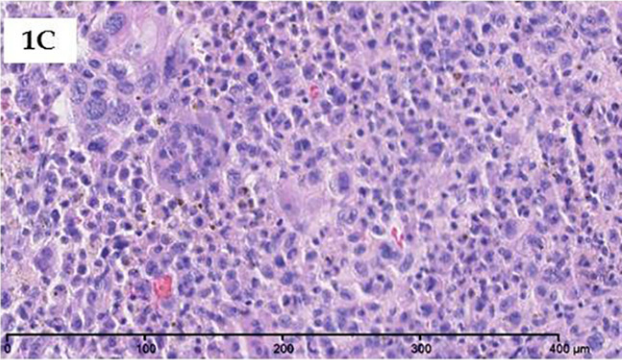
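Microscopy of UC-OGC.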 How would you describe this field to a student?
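A dense sheet of cells with no glands or stroma to speak of. Most are mononuclear cells with round to irregular, variably sized, dark purple nuclei and scant cytoplasm, some nuclei larger and more irregular than others, so the population looks pleomorphic. Scattered among them are a few much larger cells with ample pale pink cytoplasm holding clusters of many small nuclei. Fine brown granules are dotted through the sheet, and a few red blood cells are seen.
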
